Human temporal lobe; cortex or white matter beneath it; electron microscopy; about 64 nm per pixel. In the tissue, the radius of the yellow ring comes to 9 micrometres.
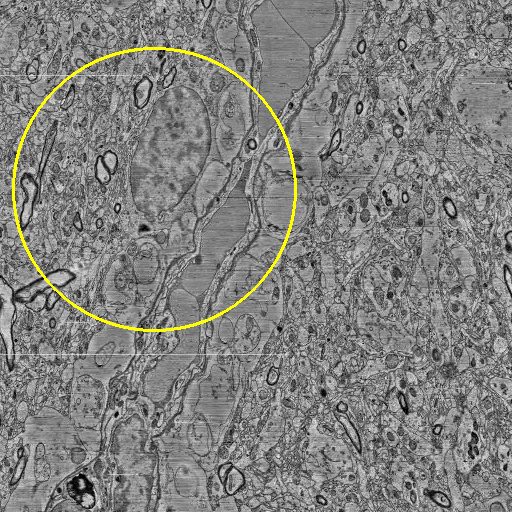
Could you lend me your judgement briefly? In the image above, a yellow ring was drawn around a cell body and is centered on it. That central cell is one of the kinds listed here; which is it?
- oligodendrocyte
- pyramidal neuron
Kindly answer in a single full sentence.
Going by the list, an oligodendrocyte is the kind at the ring's center in the picture.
